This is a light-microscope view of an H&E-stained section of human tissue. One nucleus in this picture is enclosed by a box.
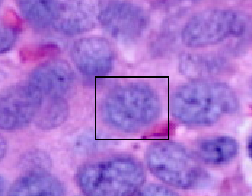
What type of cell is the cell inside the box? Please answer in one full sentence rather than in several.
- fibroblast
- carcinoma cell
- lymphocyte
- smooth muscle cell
The identity of the cell inside the box is that of a carcinoma cell.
